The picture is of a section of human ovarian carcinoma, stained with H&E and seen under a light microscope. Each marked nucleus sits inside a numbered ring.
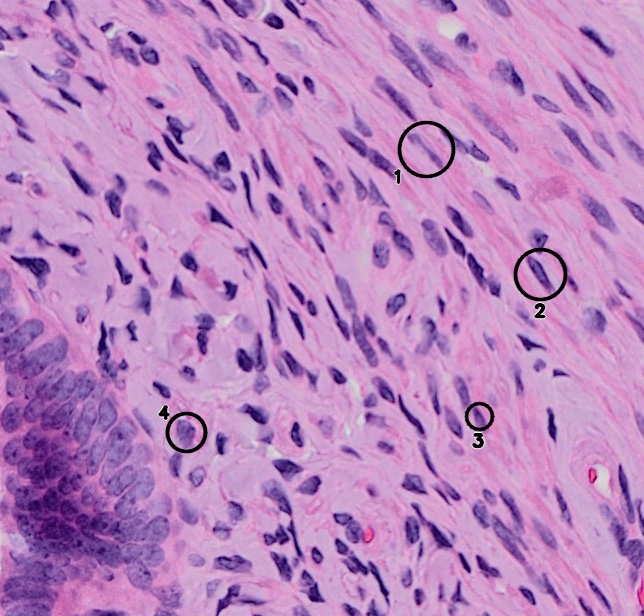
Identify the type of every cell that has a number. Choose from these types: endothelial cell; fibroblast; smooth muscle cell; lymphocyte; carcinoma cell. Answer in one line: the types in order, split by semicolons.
smooth muscle cell; smooth muscle cell; smooth muscle cell; endothelial cell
